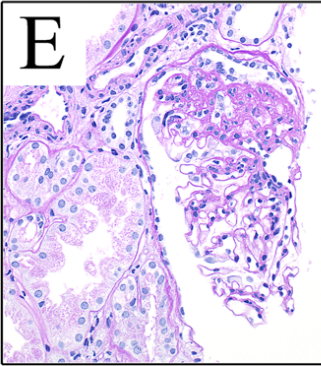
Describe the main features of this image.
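This is a glomerulus in renal cortex in which one part of the tuft has become scarred. In the upper segment the capillary loops are no longer open, replaced by a dense, wavy, magenta-staining matrix with few nuclei. The lower part of the tuft still shows open loops with dark blue nuclei along them.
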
